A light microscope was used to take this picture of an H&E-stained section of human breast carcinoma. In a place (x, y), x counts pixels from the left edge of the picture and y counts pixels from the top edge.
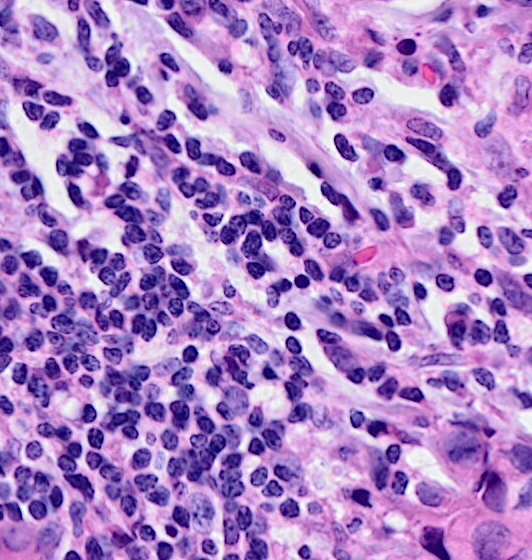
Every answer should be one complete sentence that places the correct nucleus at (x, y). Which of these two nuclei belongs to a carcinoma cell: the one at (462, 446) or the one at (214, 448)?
It is the nucleus at (462, 446), not the other one, that belongs to a carcinoma cell.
